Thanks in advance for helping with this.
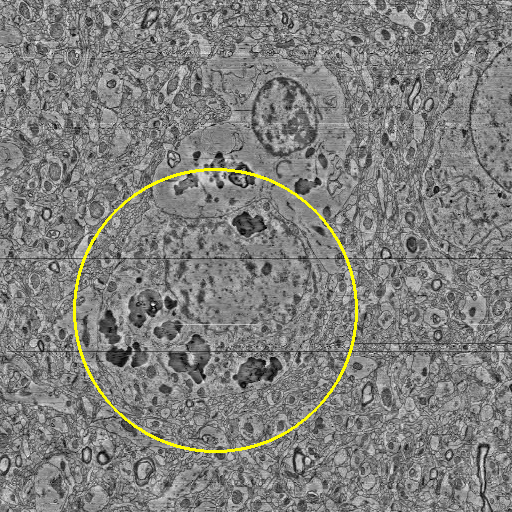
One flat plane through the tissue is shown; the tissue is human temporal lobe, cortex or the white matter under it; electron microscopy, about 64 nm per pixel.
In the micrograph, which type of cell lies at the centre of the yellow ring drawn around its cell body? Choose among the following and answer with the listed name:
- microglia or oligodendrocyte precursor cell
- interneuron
interneuron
